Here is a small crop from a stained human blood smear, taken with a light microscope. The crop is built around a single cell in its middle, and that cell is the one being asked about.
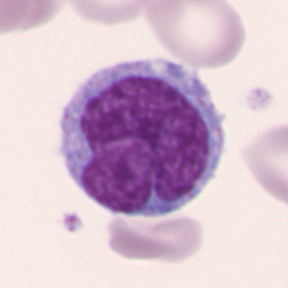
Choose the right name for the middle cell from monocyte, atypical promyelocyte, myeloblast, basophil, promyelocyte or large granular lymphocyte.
monocyte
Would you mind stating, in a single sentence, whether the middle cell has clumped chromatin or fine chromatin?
Heads up, the chromatin is fine with no coarse clumps in it.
